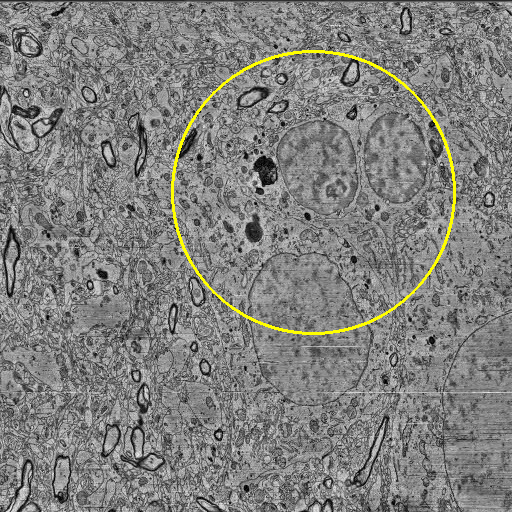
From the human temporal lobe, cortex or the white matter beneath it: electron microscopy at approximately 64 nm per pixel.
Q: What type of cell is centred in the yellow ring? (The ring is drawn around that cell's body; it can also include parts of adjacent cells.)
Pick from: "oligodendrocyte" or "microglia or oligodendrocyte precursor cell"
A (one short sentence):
The yellow ring is centred on an oligodendrocyte.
